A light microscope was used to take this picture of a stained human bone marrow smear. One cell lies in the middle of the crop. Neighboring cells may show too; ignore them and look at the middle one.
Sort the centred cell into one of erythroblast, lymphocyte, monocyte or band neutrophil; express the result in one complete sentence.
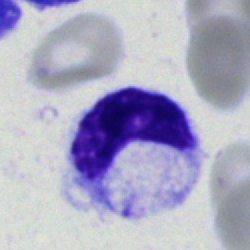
To answer, the cell in the center of the crop is a monocyte.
